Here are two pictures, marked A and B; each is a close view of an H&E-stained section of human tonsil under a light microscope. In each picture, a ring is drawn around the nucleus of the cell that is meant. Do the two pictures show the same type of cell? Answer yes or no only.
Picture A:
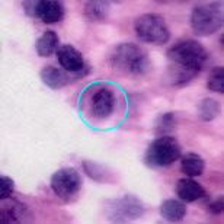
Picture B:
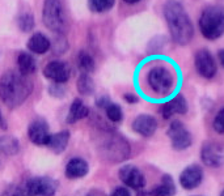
yes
